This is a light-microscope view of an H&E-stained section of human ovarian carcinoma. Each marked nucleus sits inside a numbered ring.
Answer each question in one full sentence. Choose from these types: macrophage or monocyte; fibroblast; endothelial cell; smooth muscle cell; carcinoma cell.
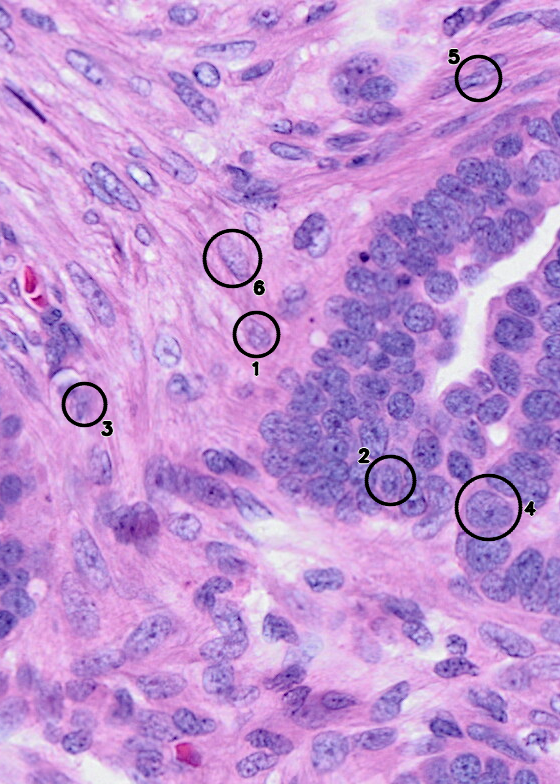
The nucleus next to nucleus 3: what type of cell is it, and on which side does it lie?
Just above and to the left of nucleus 3 lies the nearest nucleus, which belongs to a macrophage or monocyte.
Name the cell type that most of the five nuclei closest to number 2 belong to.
Of the five nuclei nearest to number 2, most belong to carcinoma cells.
